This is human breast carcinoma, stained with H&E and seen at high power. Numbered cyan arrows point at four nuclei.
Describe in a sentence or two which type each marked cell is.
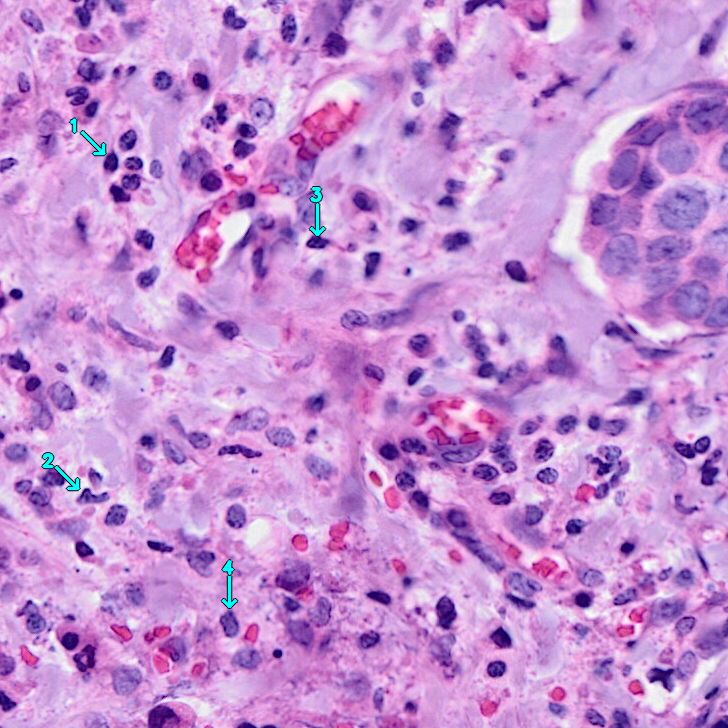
Cell 1 is a lymphocyte, cell 2 is a lymphocyte, cell 3 is a lymphocyte and cell 4 is a mast cell.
